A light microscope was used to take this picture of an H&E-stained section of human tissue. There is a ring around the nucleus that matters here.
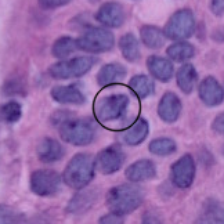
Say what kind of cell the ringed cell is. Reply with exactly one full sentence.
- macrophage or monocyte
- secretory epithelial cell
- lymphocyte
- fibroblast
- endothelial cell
In short, the ringed cell on this section is a secretory epithelial cell.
